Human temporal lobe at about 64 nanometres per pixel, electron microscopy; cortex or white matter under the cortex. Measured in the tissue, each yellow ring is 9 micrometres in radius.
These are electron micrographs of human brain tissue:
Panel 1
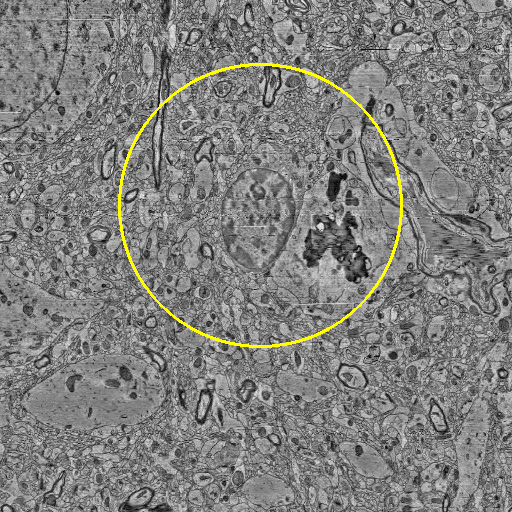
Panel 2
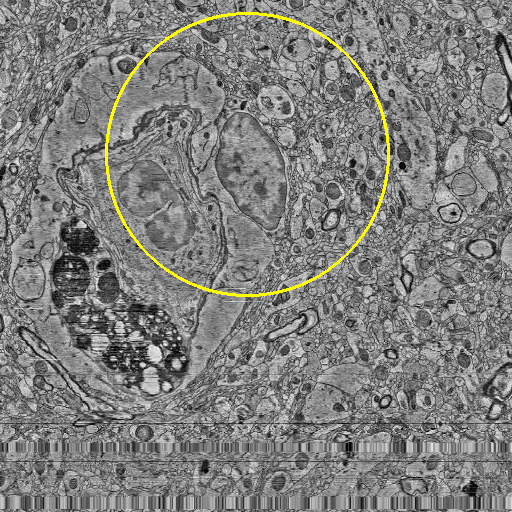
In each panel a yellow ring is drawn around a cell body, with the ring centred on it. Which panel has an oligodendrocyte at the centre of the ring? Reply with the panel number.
1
